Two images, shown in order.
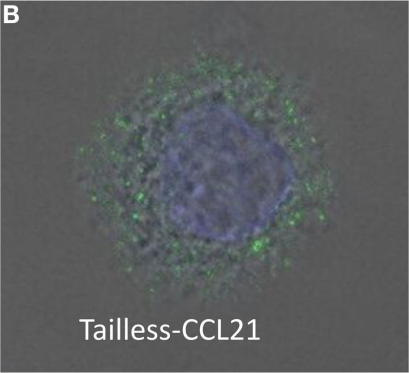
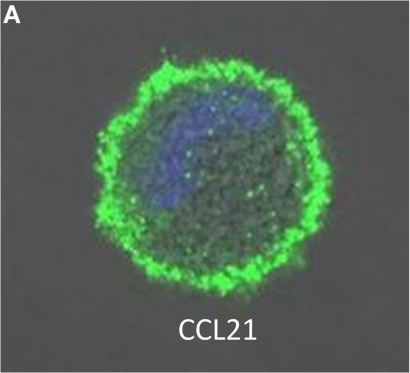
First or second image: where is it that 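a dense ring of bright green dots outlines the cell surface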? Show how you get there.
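First image: only sparse faint green dots scattered over the cell. Second image: a bright, continuous ring of green dots along the cell border.
Conclusion: the second image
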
